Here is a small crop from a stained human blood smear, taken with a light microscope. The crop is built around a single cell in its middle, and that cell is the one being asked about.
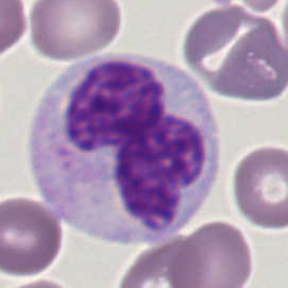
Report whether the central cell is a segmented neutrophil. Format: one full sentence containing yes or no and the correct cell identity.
Yes, the centrally placed cell is a segmented neutrophil.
